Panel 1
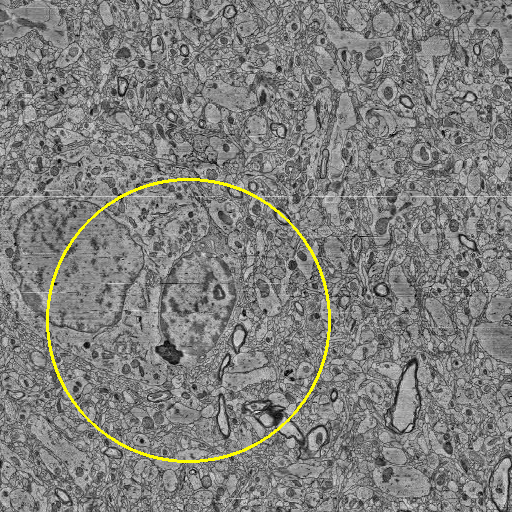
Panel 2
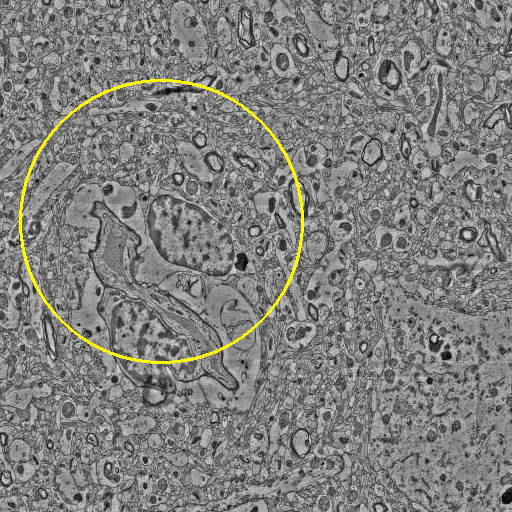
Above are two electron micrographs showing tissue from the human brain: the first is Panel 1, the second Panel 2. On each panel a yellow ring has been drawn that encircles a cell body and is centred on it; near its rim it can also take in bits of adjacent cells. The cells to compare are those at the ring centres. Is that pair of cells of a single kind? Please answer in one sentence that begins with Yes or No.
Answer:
No, the ring-centred cells of Panel 1 and Panel 2 belong to two kinds.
